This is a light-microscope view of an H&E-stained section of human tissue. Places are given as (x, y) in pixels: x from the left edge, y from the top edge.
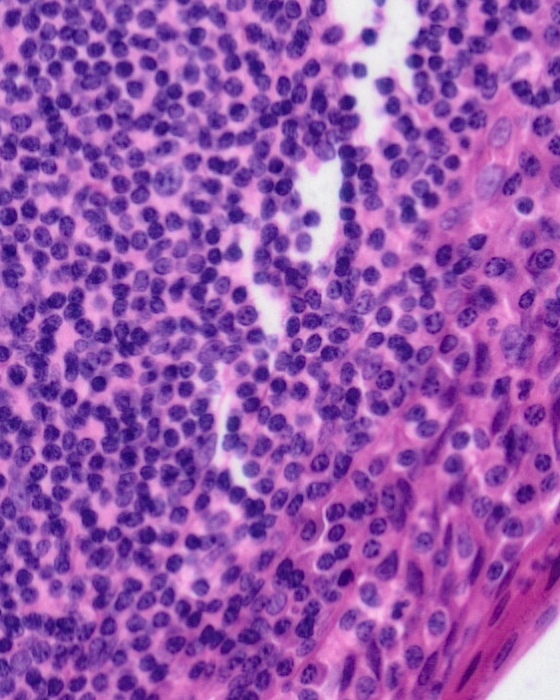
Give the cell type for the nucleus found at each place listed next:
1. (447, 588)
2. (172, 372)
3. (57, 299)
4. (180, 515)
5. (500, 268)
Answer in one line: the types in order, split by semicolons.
squamous epithelial cell; small lymphocyte; small lymphocyte; small lymphocyte; plasma cell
